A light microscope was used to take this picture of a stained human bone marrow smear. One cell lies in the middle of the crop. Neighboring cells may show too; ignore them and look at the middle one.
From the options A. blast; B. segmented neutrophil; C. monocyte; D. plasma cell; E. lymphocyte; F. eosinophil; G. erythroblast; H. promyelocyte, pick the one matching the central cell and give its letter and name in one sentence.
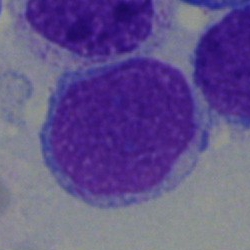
The correct identification, given in option A, is that the central cell is a blast.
